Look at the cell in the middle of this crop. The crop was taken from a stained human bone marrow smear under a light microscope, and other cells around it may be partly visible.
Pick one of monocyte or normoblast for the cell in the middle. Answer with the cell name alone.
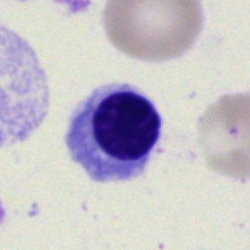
normoblast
